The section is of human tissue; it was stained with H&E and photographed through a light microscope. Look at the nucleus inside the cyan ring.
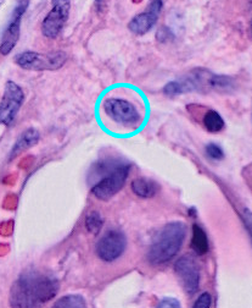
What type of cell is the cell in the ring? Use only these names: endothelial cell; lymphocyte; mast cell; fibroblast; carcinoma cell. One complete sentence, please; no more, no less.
For the purposes of cell typing, the cell in the ring is categorized as a mast cell.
